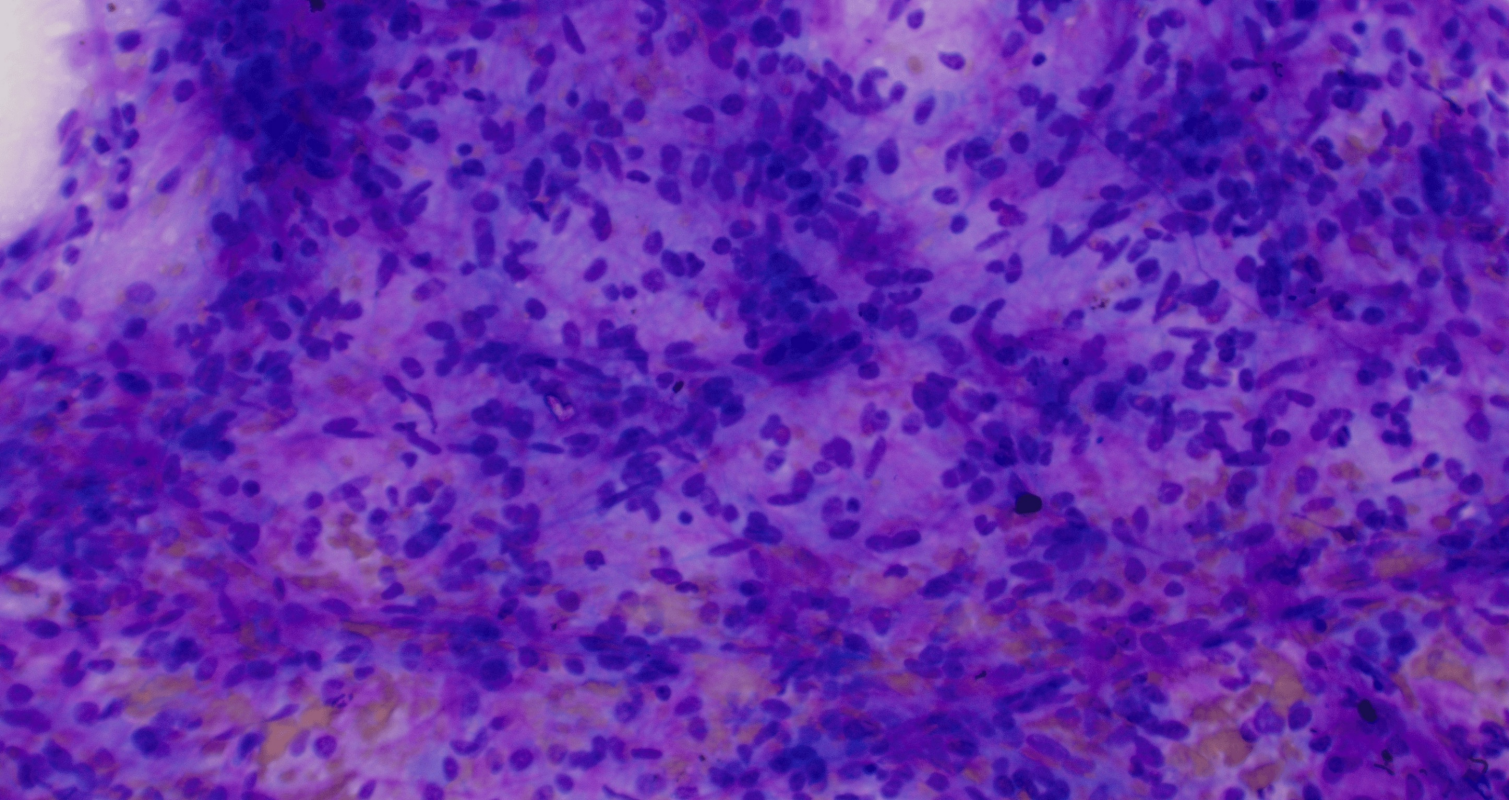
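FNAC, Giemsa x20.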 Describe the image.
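Densely cellular aspirate smear made up of a mixture of spindle cells and epithelioid cells, stained purple-blue. Spindle cells have elongated, tapering dark nuclei, often lying in loose streams. Epithelioid cells have round to oval nuclei of fairly even size with smooth outlines. Cytoplasm is pale and ill-defined, merging into a pink-violet fibrillary background. Nuclei are dense in some areas and looser in others, and scattered yellow-brown material lies between the cells.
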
